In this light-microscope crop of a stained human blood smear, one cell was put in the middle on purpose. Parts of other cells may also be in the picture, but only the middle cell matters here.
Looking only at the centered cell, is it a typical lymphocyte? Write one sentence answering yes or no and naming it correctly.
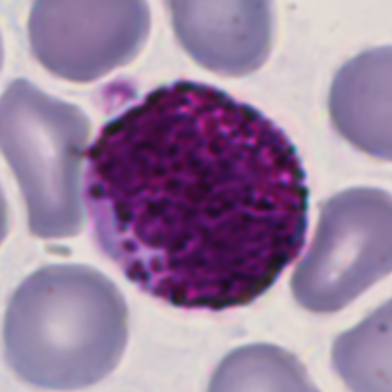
No, a basophil, not a typical lymphocyte, is what sits in the centre of the crop.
